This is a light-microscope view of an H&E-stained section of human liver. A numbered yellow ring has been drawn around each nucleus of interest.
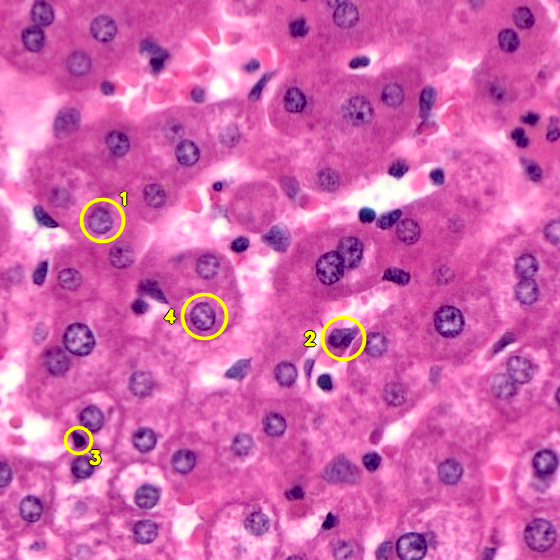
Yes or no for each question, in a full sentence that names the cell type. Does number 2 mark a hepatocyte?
No, the cell at number 2 is a Kupffer cell instead of a hepatocyte.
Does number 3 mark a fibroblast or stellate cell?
Yes, the cell numbered 3 in this tissue is a fibroblast or stellate cell.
